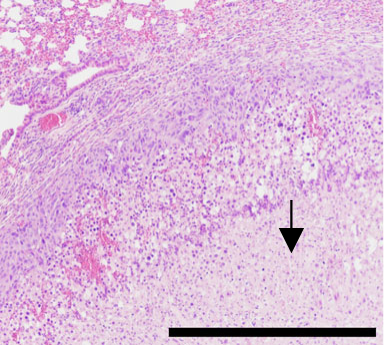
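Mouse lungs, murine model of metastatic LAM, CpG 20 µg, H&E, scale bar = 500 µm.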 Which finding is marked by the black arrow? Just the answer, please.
Necrosis.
